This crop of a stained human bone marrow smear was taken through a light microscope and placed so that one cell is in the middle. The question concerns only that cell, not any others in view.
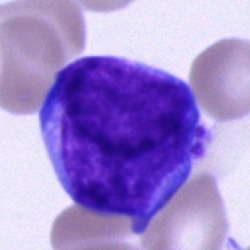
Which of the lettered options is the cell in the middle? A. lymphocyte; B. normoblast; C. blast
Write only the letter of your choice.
C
